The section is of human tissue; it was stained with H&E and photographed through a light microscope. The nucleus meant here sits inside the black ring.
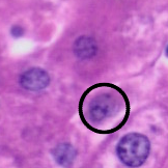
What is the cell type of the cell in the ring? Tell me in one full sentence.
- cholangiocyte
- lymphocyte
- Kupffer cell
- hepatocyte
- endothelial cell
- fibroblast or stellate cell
In this tissue section, the cell in the ring is to be classed as a Kupffer cell.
